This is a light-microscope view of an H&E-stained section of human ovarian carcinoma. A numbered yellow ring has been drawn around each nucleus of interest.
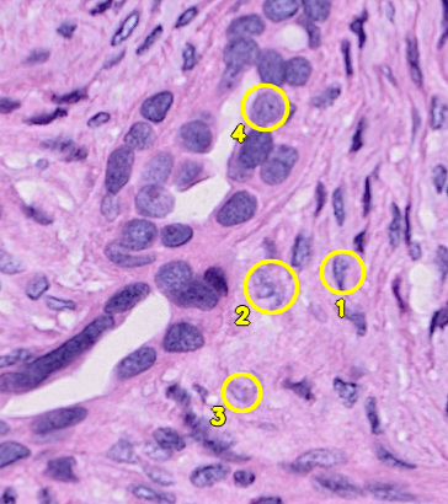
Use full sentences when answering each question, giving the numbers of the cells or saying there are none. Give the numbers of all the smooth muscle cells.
The numbered cells, taken together, include no smooth muscle cells.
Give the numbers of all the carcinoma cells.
Only nucleus 4 belongs to a carcinoma cell; the other numbered nuclei do not.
